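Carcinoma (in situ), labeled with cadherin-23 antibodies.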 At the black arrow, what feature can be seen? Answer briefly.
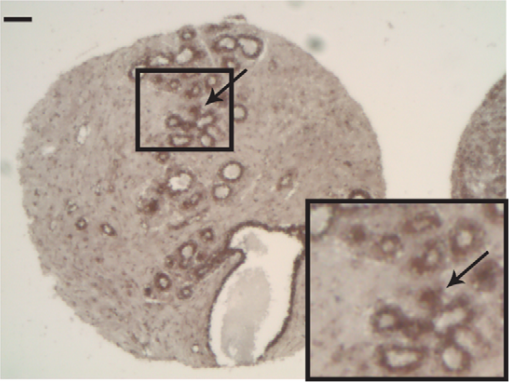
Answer: Duct.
